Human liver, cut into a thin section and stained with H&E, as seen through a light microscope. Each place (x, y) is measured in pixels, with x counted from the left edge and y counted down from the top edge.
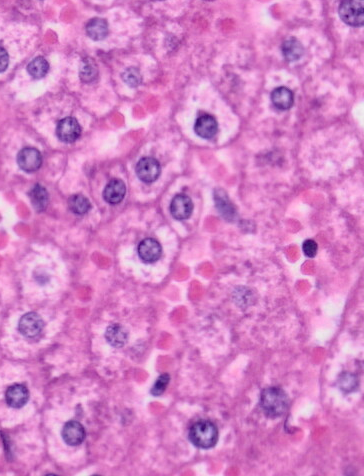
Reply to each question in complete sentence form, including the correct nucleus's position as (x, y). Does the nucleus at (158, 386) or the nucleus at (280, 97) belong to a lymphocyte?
Of the two nuclei present, the one at (158, 386) is within a lymphocyte.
